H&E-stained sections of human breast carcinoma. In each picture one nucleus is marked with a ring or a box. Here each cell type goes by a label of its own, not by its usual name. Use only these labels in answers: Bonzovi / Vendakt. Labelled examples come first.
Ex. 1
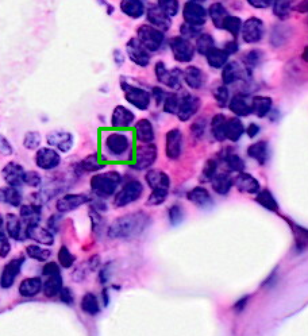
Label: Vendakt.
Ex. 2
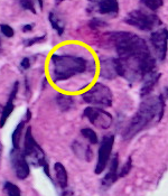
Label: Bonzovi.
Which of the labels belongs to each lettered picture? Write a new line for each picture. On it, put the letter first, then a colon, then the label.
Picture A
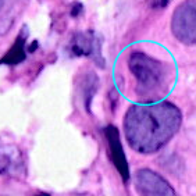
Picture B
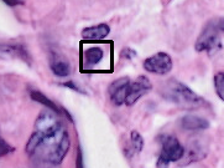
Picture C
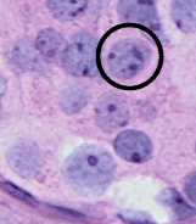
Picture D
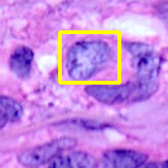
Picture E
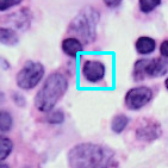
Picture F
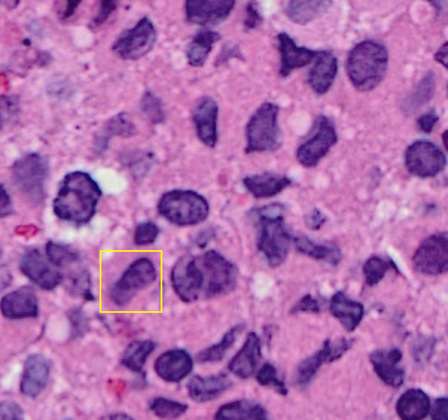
A: Bonzovi.
B: Vendakt.
C: Bonzovi.
D: Bonzovi.
E: Vendakt.
F: Bonzovi.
